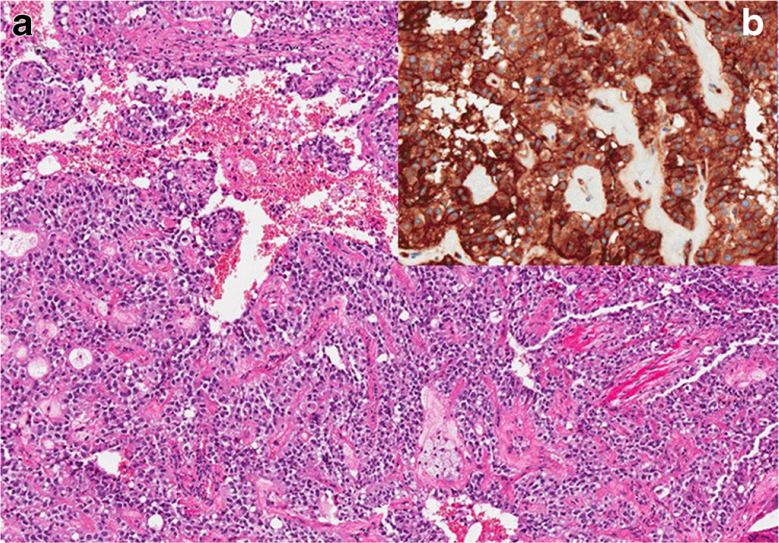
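This is a tumor made of solid sheets of small, strikingly uniform cells. Their nuclei are round to oval and of much the same size, with a modest rim of pink cytoplasm. Thin-walled blood vessels run closely through the sheets, and pools of red blood cells sit among the tumor cells at the top. In places the cells around vessels loosen, leaving small clear spaces, and there are pink strands of fibrous stroma toward the right.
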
